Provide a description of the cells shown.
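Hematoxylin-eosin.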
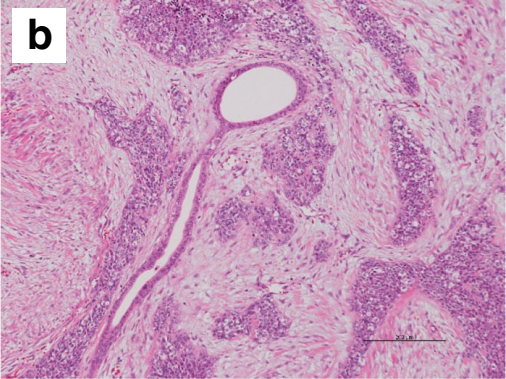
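Well-defined nests of tumor cells of varying size, with crowded dark purple nuclei, are separated by a pale pink fibrous stroma containing spindle-shaped cells. A narrow duct with an open lumen runs between the nests.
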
